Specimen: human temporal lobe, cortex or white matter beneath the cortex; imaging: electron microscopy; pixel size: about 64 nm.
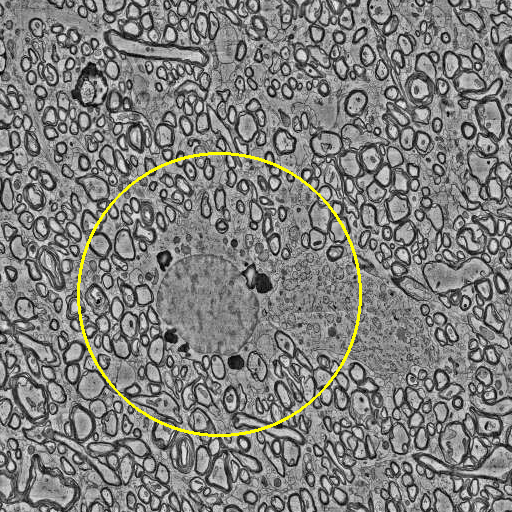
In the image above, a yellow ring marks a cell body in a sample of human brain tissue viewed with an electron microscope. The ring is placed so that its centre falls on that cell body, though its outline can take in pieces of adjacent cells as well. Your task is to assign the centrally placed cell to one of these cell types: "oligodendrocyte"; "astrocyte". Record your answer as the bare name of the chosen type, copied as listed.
oligodendrocyte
